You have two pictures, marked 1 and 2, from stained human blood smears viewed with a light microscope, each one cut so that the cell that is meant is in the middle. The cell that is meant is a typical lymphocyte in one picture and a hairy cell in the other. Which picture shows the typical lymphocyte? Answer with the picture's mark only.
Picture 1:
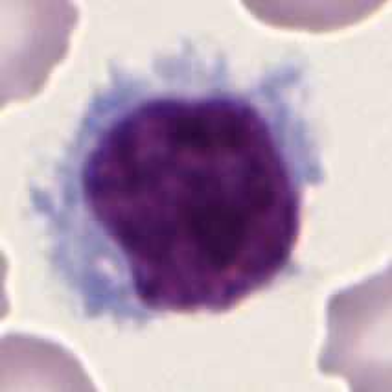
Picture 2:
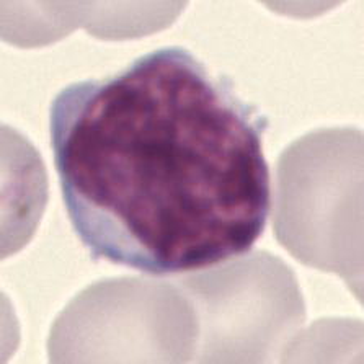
2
